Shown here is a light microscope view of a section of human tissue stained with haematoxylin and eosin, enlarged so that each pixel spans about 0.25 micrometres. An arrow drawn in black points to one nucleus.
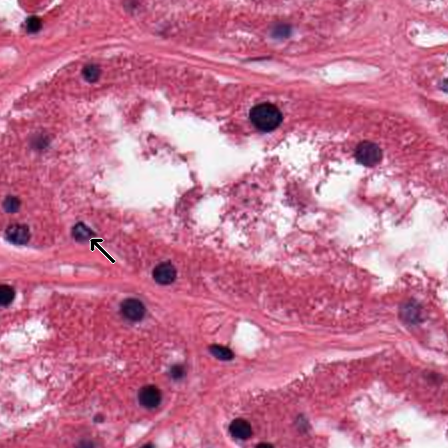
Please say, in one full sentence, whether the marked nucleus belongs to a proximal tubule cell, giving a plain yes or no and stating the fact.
Yes, the marked nucleus is held by a proximal tubule cell.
